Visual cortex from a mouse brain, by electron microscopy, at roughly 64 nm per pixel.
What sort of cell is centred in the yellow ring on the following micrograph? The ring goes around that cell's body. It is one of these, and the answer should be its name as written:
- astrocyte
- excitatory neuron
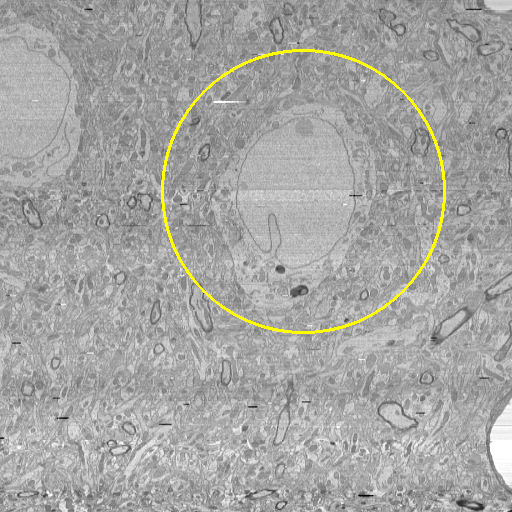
excitatory neuron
